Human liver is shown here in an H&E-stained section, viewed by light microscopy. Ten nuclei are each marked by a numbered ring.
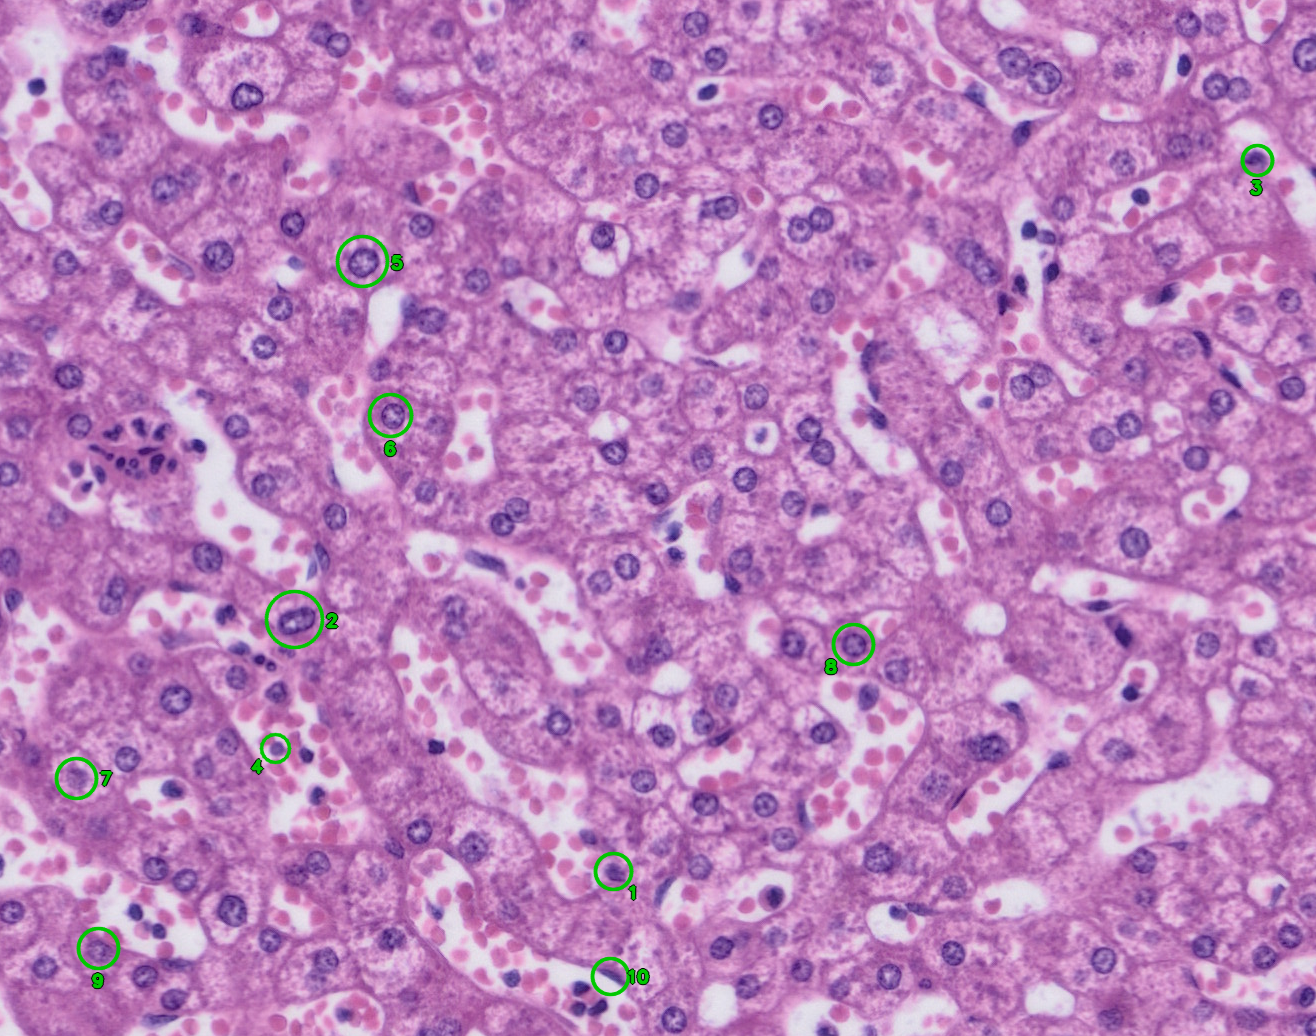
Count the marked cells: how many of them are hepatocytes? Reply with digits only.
6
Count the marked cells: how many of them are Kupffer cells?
1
